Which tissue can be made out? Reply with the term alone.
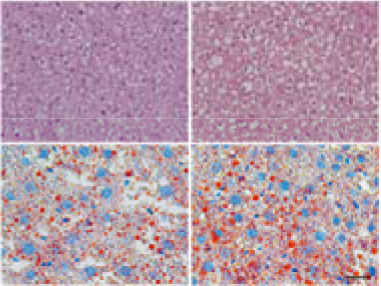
liver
